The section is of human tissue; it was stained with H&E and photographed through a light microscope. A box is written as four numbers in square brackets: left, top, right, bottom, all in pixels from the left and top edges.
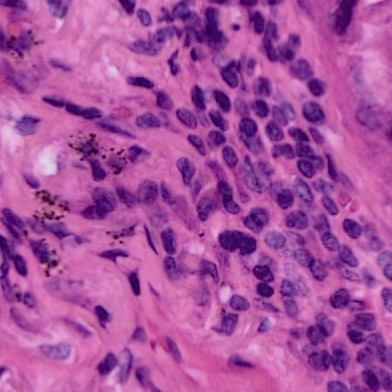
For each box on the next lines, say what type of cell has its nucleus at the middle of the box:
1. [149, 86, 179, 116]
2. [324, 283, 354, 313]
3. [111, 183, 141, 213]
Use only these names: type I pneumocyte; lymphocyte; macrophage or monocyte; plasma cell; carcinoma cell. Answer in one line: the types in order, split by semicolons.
plasma cell; lymphocyte; plasma cell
